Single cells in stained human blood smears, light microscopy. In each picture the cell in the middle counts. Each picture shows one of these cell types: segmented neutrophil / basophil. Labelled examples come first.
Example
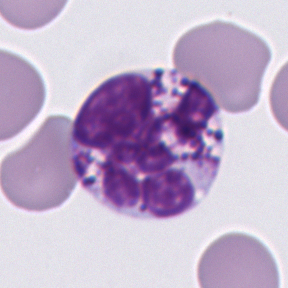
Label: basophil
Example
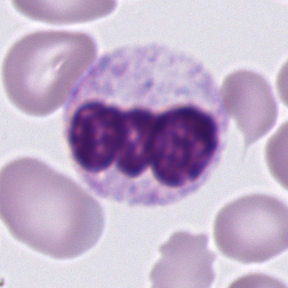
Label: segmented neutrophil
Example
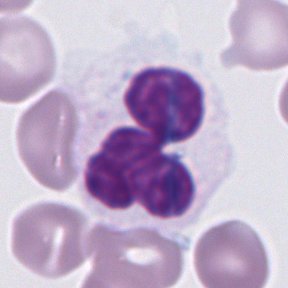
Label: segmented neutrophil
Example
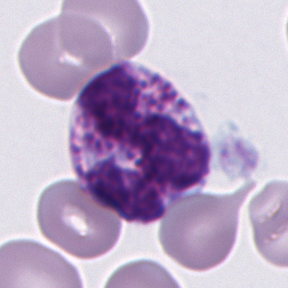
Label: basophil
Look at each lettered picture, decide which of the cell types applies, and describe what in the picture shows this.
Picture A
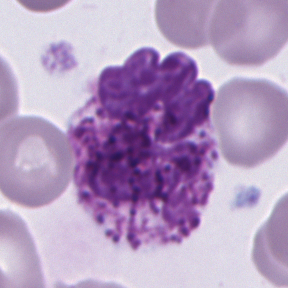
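basophil. The cytoplasm holds coarse dark purple granules.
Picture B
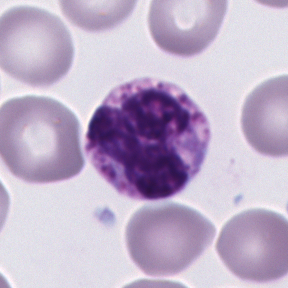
basophil. Coarse dark purple granules are scattered through the cytoplasm.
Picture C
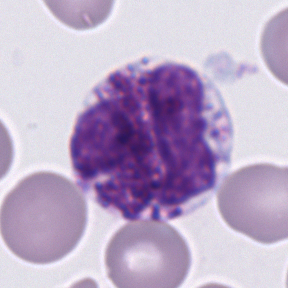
basophil. Coarse granules lie over the nucleus as well as the cytoplasm.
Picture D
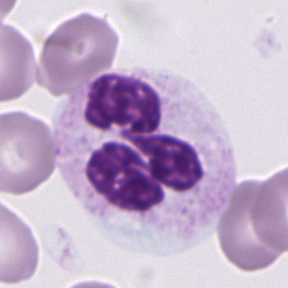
segmented neutrophil. The cytoplasm is plentiful and pale lilac-pink.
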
